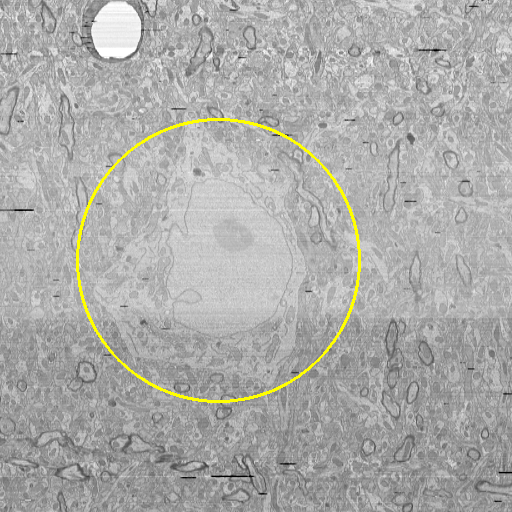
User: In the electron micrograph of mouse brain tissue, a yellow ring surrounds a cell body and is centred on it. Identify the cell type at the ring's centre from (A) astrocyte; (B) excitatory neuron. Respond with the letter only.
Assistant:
B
